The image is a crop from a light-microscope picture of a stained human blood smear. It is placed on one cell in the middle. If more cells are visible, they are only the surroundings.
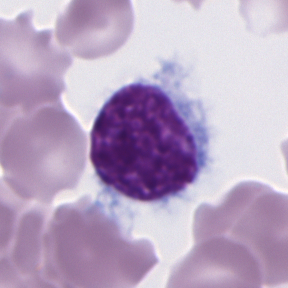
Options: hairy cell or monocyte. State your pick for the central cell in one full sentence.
Standing at the centre of this crop is a hairy cell.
